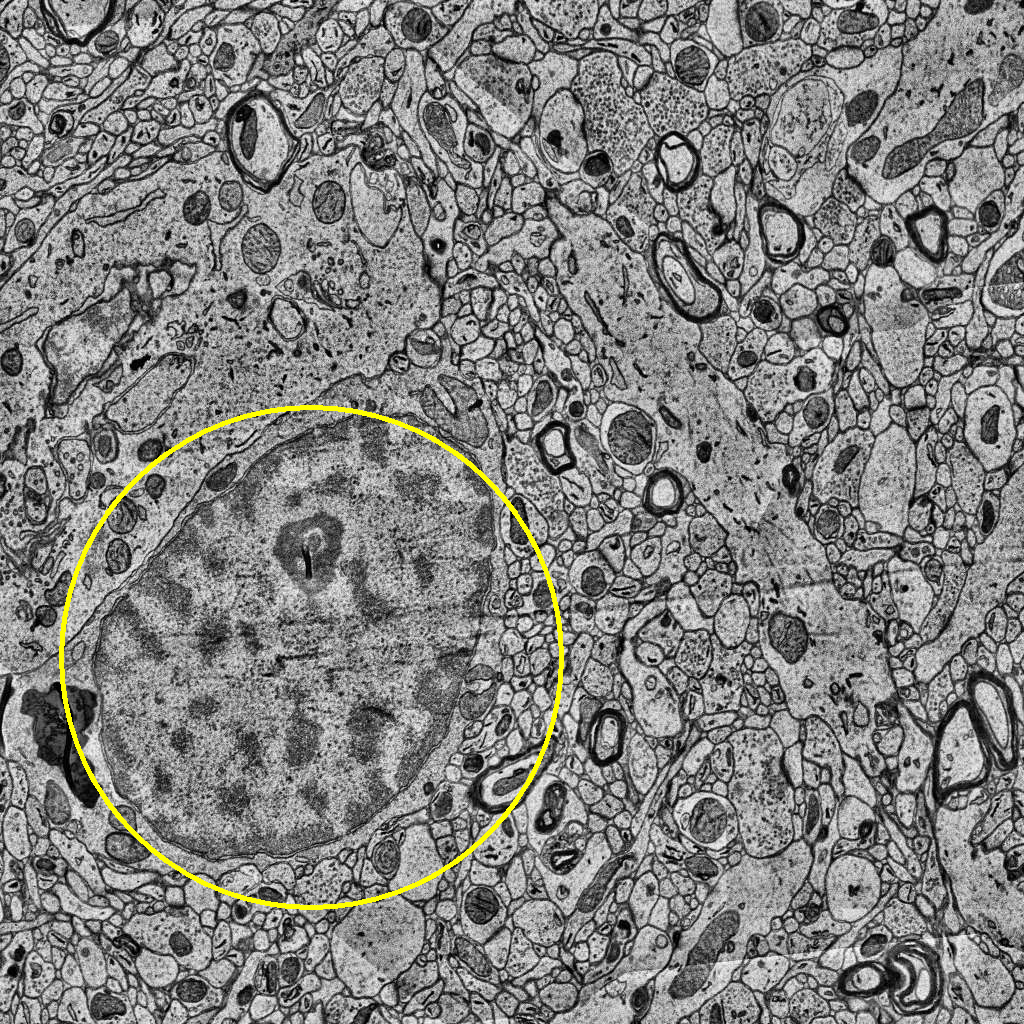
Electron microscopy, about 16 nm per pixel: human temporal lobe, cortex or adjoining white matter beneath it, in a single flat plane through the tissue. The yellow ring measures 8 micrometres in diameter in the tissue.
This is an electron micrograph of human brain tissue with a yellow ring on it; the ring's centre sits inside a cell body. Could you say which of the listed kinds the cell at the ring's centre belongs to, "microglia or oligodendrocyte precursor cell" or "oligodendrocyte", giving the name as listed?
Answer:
oligodendrocyte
